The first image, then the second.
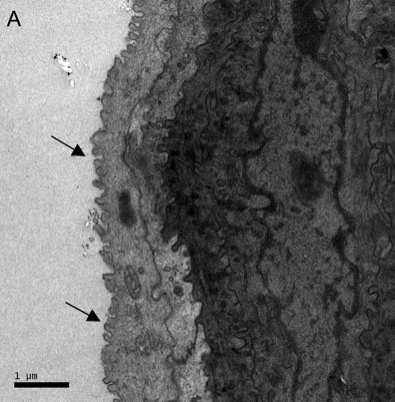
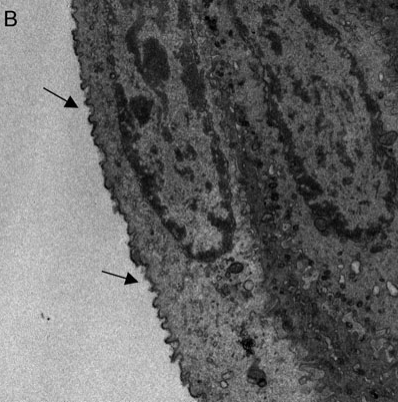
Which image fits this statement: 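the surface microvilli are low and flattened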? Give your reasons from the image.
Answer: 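First image: the cell surface carries taller, irregular projections. Second image: the cell surface carries only short, low bumps.
Answer: the second image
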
